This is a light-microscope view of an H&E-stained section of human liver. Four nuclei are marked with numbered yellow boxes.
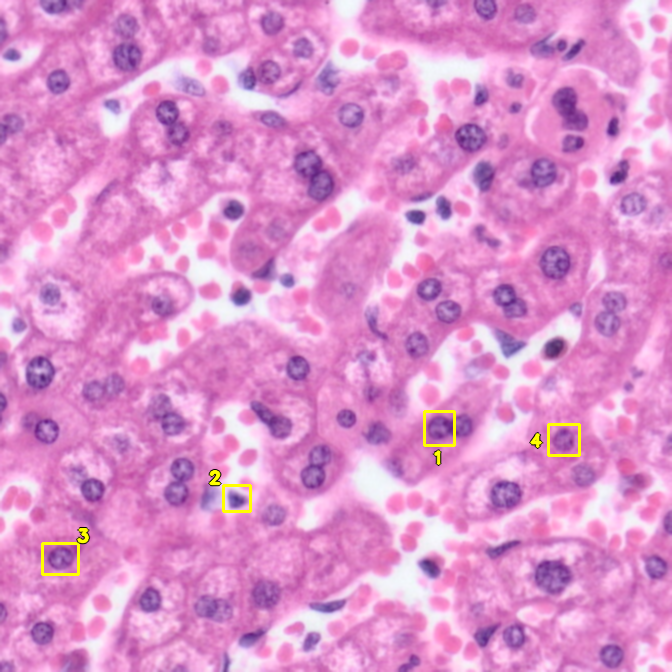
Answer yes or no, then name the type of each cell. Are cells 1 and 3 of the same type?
Yes, both are hepatocytes.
